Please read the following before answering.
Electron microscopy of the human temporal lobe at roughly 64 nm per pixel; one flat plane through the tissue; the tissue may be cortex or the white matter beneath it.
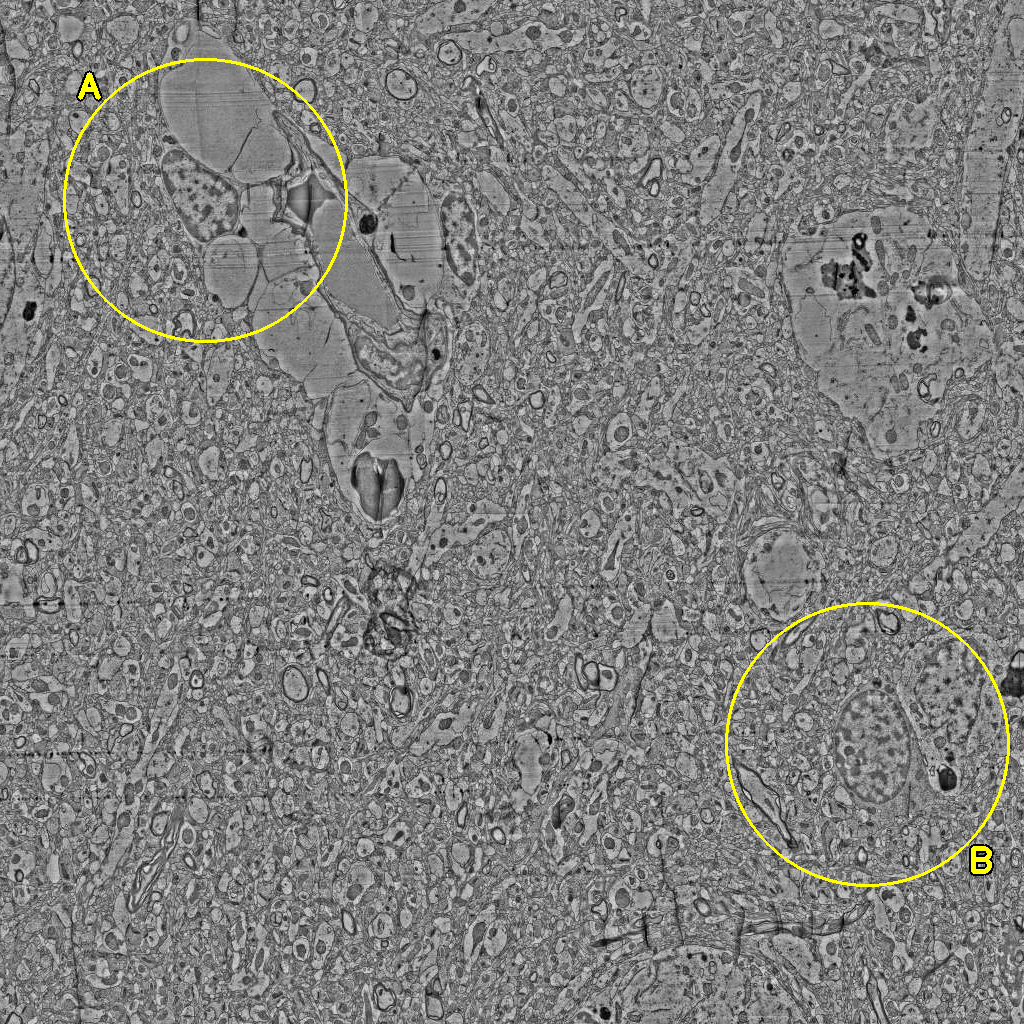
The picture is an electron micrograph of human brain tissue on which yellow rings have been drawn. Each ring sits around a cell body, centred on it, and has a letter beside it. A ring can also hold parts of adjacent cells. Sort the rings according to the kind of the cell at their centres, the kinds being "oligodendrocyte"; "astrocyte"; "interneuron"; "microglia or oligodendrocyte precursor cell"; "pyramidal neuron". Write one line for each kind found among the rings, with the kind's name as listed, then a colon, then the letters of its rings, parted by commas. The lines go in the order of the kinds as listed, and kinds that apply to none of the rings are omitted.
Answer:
oligodendrocyte: B
microglia or oligodendrocyte precursor cell: A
